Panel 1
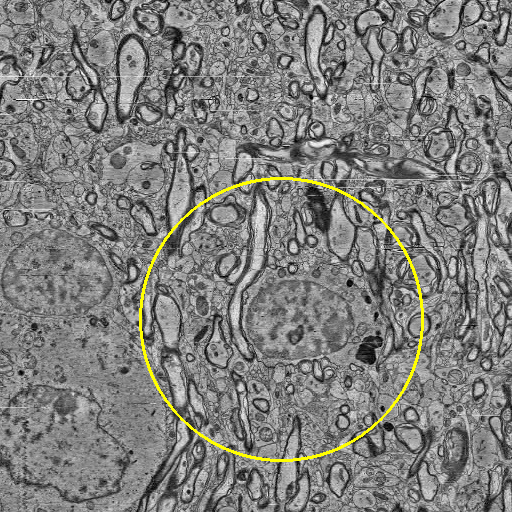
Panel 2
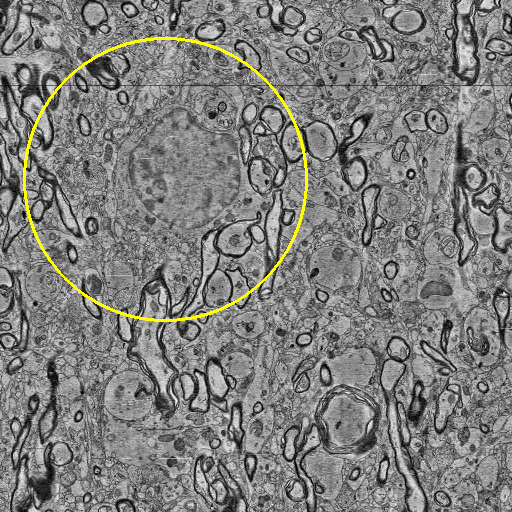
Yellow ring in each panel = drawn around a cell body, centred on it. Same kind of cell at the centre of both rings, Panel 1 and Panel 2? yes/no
yes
